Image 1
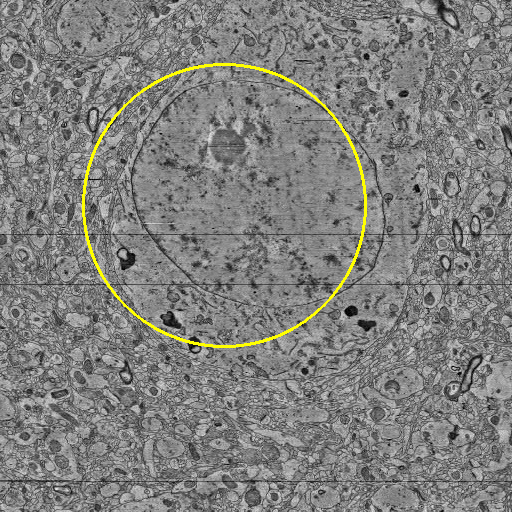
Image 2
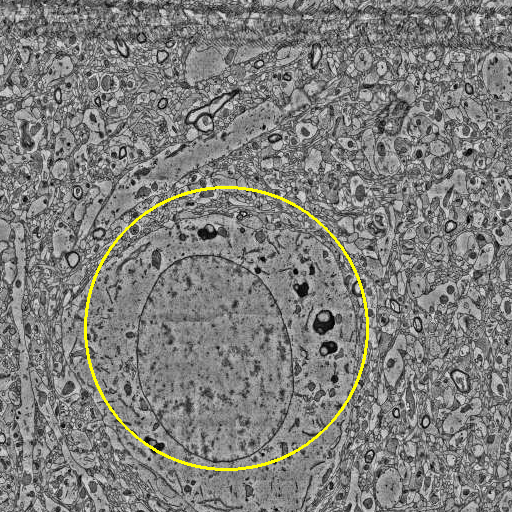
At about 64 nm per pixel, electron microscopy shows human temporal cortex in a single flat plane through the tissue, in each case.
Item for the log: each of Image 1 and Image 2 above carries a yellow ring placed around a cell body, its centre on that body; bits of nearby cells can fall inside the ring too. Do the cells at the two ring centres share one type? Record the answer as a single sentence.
Yes, the two cells at the ring centres in Image 1 and Image 2 share one type.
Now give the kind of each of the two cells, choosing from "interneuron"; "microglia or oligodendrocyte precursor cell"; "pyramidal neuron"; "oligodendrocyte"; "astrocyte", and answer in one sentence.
In the first picture and in the second, the ring is centred on a pyramidal neuron.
